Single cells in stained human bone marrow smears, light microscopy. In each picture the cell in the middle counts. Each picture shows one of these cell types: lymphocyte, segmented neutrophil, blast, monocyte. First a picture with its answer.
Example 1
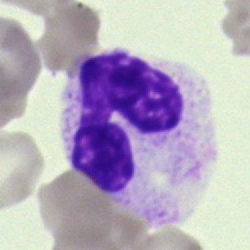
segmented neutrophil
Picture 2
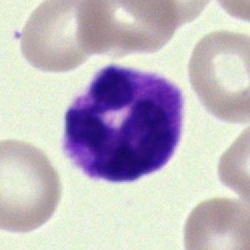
segmented neutrophil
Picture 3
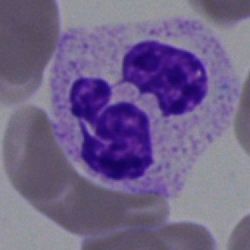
segmented neutrophil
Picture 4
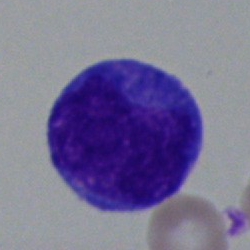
blast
